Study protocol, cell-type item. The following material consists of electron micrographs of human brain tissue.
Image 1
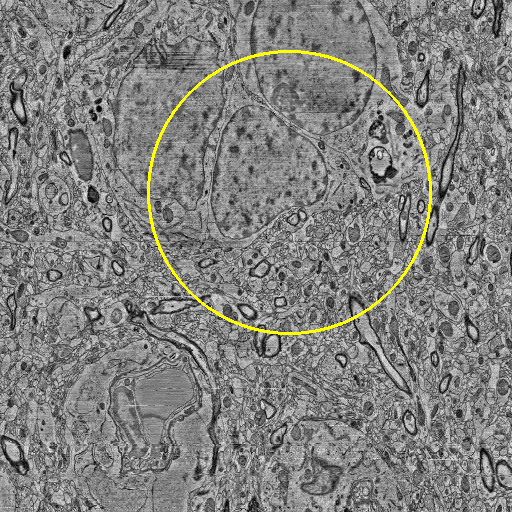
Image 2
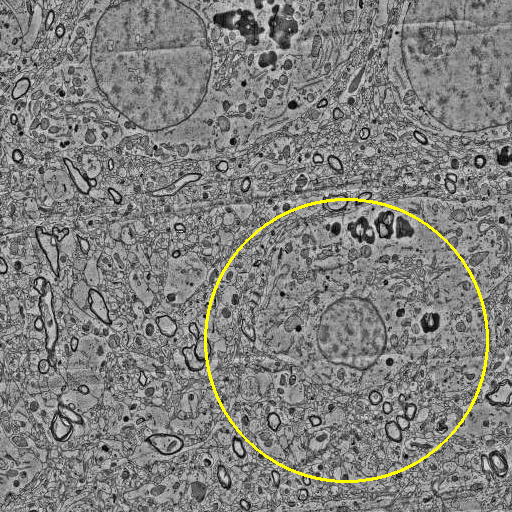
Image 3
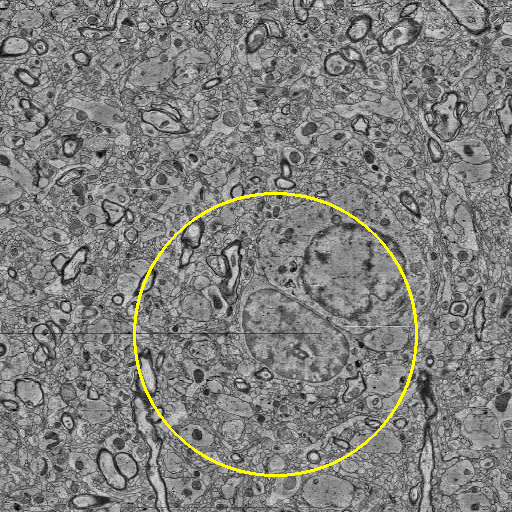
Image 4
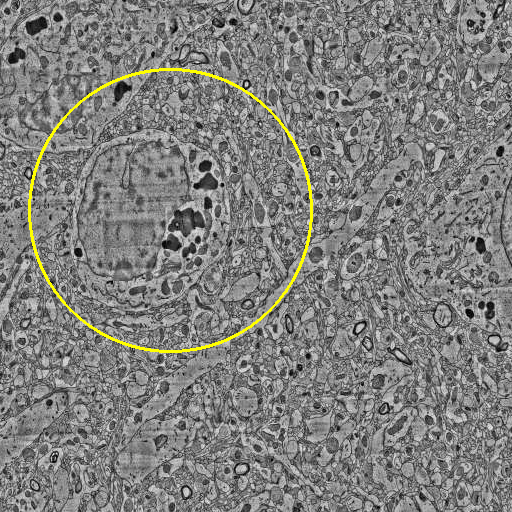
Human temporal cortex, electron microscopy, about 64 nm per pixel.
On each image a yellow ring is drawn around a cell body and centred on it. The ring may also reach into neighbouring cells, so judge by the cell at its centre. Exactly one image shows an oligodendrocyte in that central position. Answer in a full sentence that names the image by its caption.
The cell at the centre of the ring in Image 3 is of that kind.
